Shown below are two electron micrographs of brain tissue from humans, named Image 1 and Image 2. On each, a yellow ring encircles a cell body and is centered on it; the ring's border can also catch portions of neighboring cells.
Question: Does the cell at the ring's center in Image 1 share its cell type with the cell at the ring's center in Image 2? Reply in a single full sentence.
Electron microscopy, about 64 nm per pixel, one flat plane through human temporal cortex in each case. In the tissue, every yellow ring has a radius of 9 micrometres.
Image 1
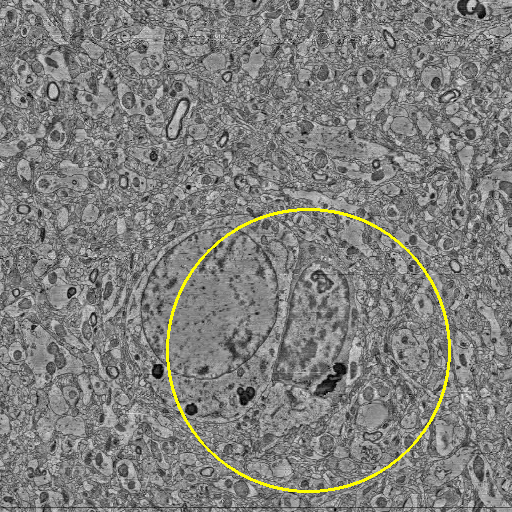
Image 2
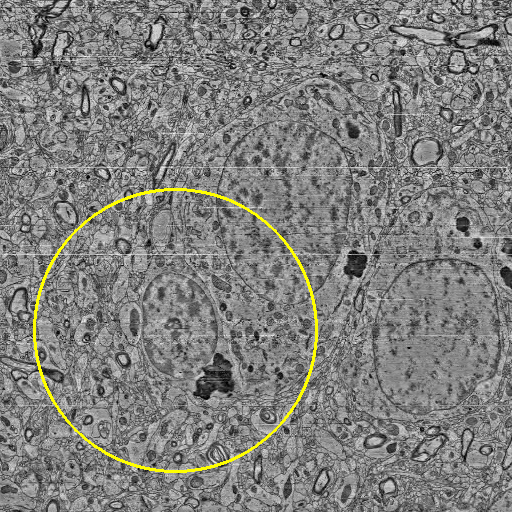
Yes, the two cells at the ring centers, in Image 1 and Image 2, share one cell type.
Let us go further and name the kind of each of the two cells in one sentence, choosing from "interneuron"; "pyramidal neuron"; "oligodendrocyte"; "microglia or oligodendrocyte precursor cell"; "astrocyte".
Each cell, in the first picture and the second, is an oligodendrocyte.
